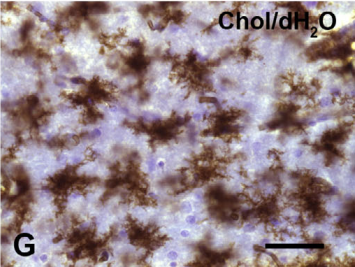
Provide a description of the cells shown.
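The microglial cells are closely and fairly evenly spaced across the field. Each has an enlarged, darkly stained cell body. Their processes are short, thick and bushy rather than long and fine, giving the cells a compact, tufted appearance. A few small violet nuclei of other cells lie between them.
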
